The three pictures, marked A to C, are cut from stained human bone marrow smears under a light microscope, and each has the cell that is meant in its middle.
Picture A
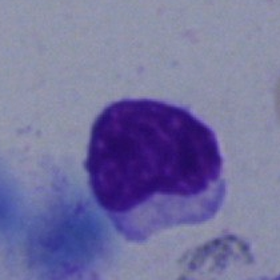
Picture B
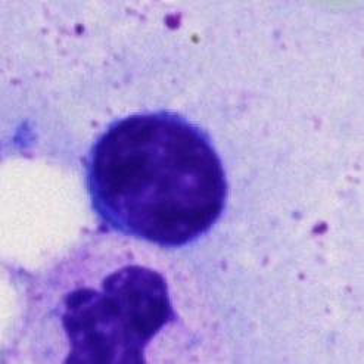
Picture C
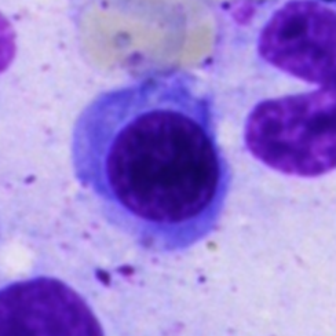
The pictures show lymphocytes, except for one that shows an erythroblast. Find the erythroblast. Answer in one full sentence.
The cell in picture C is the erythroblast.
